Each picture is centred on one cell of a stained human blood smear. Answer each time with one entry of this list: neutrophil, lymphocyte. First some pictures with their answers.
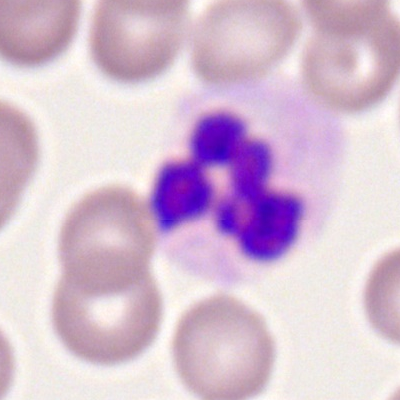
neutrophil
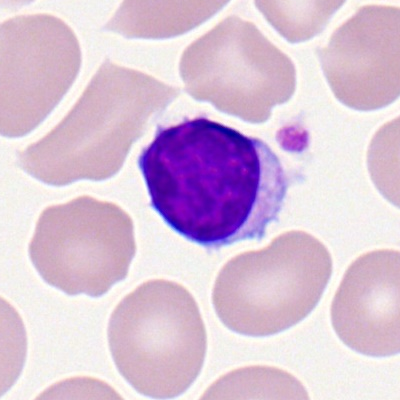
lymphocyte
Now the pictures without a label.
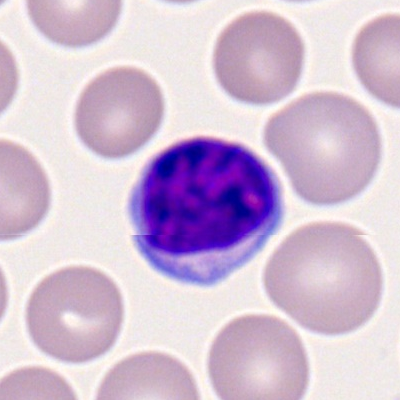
lymphocyte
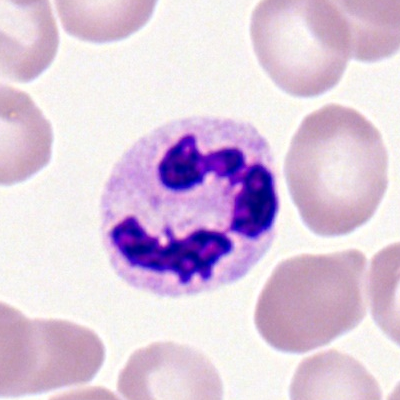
neutrophil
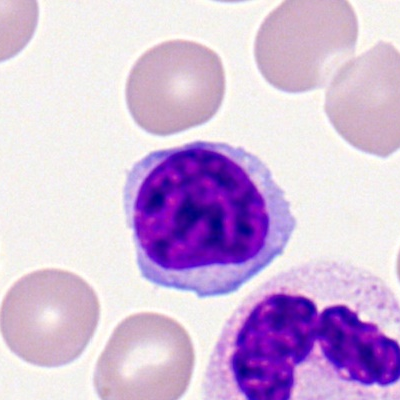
lymphocyte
